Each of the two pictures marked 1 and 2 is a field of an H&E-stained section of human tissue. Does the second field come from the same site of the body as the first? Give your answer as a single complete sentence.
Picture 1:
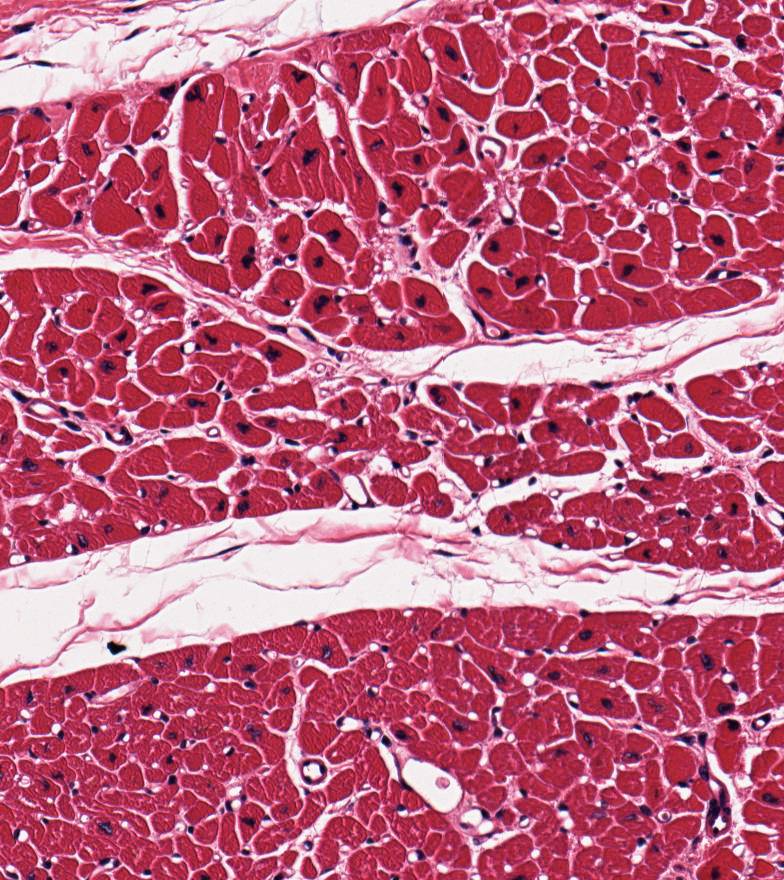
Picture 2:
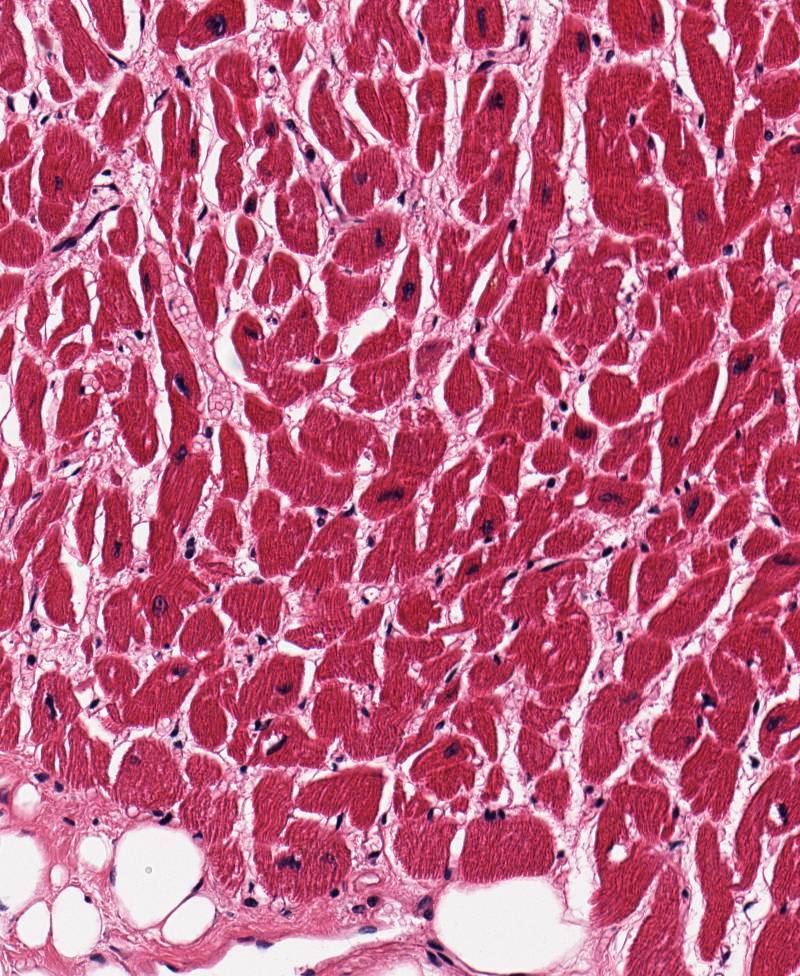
Yes, both come from the left ventricle of the heart.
